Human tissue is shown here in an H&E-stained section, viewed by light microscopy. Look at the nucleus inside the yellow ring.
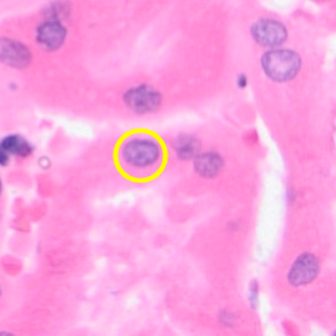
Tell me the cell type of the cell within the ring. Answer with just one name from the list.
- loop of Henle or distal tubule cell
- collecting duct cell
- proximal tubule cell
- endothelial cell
proximal tubule cell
